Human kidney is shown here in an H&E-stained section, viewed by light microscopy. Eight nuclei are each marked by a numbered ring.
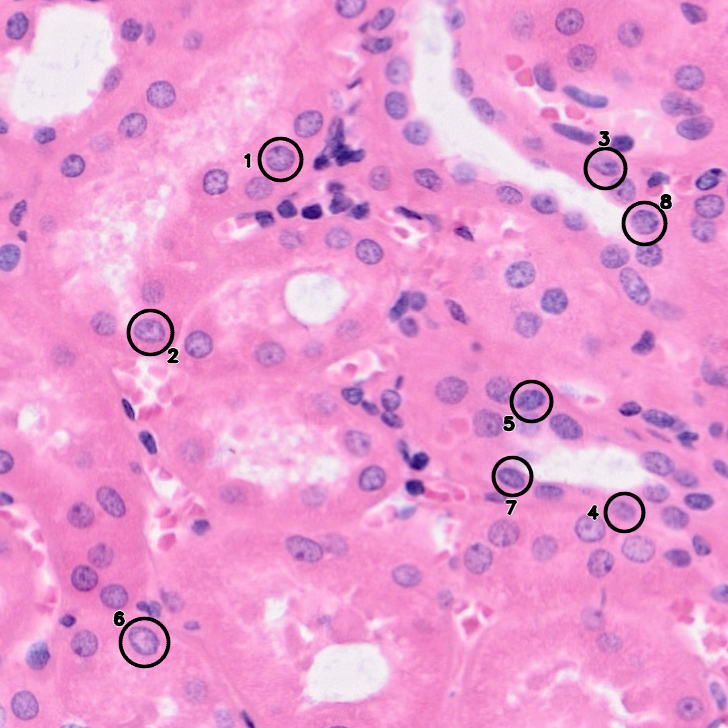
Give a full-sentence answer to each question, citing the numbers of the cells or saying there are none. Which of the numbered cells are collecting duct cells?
By cell type, the cells numbered 3, 4, 5, 7 and 8 are collecting duct cells.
